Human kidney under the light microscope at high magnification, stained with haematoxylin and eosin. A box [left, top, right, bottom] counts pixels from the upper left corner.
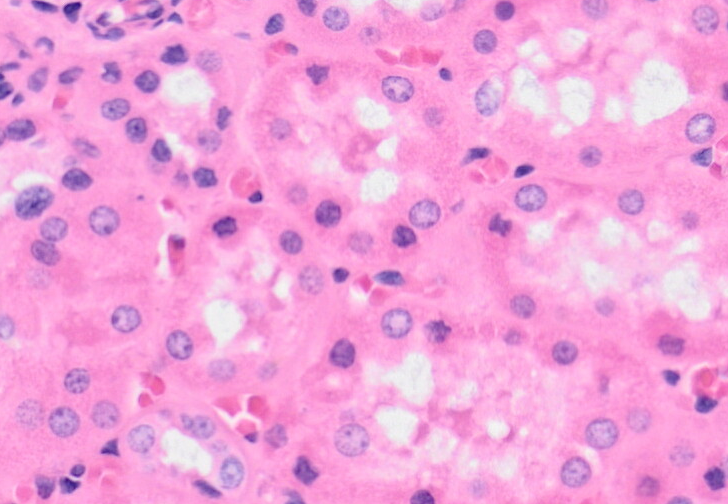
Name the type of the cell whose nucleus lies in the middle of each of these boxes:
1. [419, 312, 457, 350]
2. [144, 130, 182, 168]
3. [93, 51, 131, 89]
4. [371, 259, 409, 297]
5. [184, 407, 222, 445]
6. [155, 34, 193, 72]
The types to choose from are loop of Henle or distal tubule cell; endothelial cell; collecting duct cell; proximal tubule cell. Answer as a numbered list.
1. proximal tubule cell
2. loop of Henle or distal tubule cell
3. loop of Henle or distal tubule cell
4. endothelial cell
5. collecting duct cell
6. loop of Henle or distal tubule cell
